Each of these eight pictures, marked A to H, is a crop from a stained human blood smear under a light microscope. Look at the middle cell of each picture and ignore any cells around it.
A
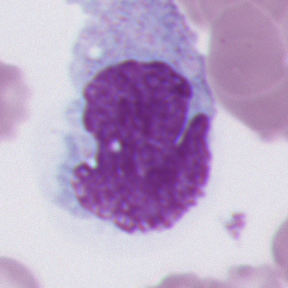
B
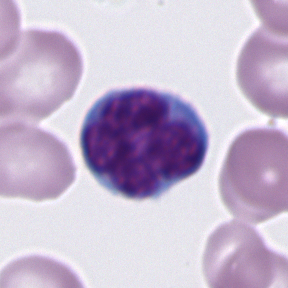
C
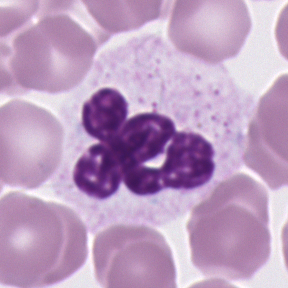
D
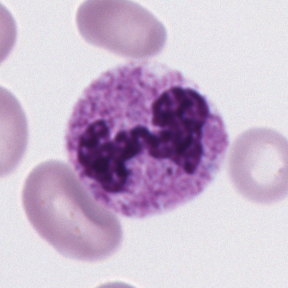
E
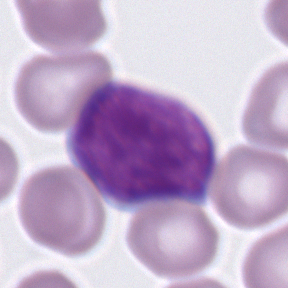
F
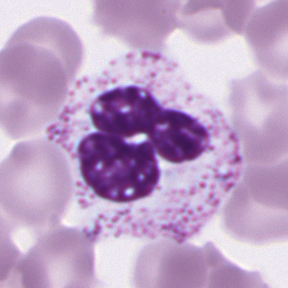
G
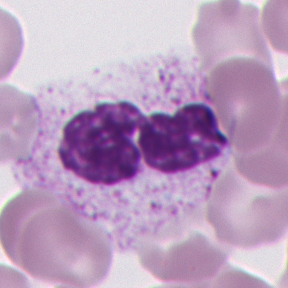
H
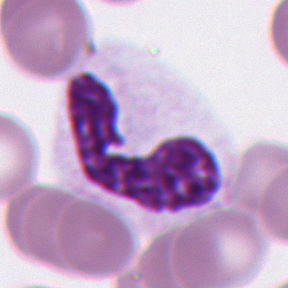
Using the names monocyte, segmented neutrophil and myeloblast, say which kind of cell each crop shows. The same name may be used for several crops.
A: monocyte
B: myeloblast
C: segmented neutrophil
D: segmented neutrophil
E: myeloblast
F: segmented neutrophil
G: segmented neutrophil
H: segmented neutrophil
